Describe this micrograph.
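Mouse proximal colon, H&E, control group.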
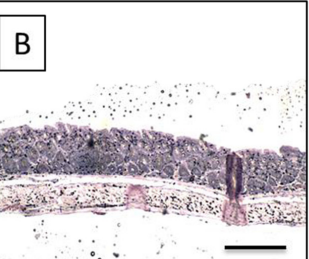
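A thick purple mucosa of closely packed crypts forms the upper band, with an even surface. Beneath it lies a thin, compact submucosa and a narrow pink band of smooth muscle. No widening of the submucosa and no dense clusters of inflammatory cells are seen. A dark folded section artefact crosses the wall at the right. The lumen above contains scattered small particles.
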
